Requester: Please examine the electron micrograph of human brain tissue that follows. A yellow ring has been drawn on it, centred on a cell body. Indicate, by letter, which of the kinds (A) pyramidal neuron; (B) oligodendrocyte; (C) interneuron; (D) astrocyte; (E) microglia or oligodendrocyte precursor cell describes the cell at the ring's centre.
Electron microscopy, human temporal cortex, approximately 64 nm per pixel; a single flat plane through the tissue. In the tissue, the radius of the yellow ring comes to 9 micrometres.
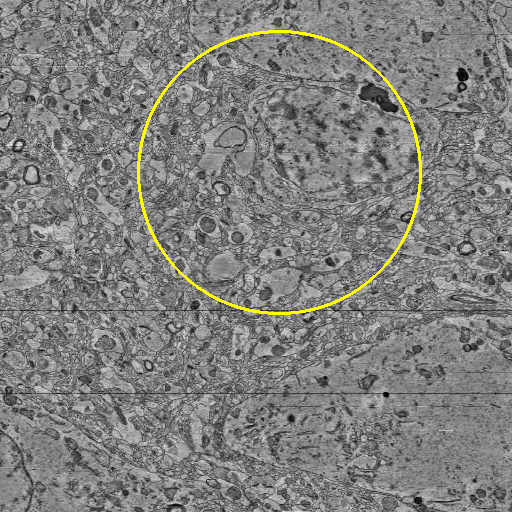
C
